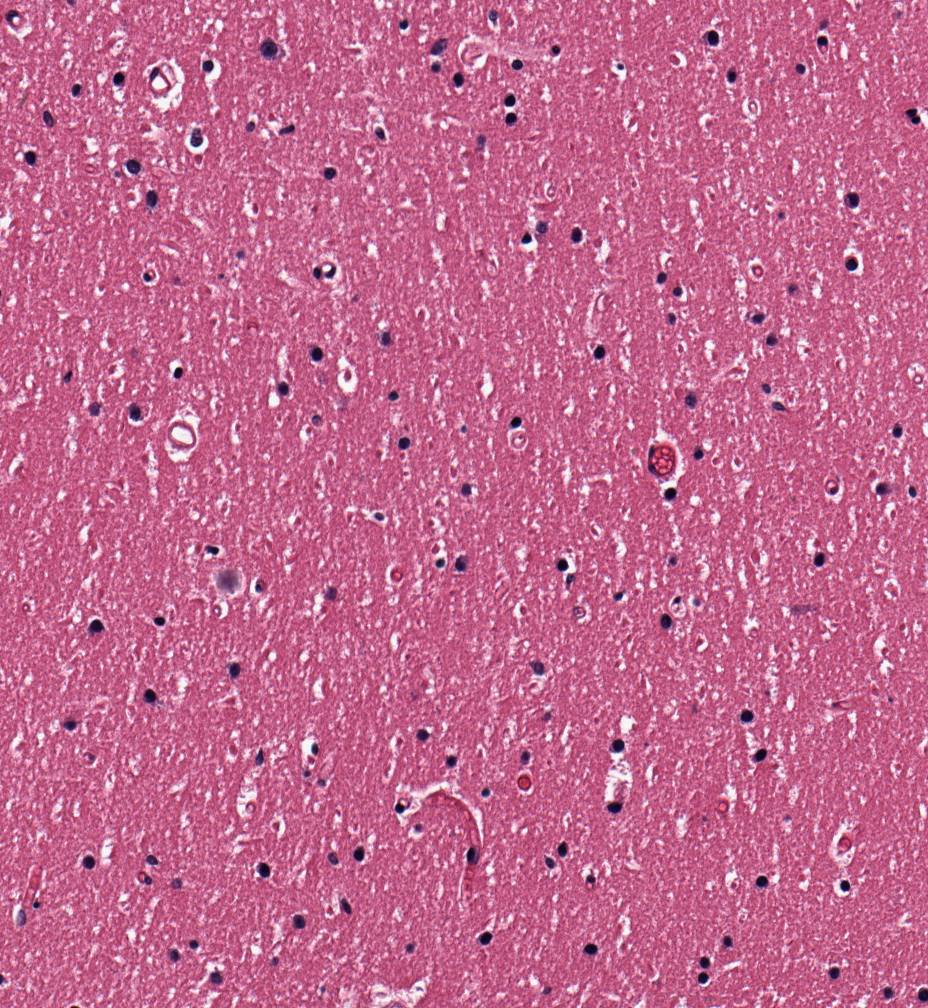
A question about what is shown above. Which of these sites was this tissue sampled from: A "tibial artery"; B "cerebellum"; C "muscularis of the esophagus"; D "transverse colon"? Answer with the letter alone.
B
